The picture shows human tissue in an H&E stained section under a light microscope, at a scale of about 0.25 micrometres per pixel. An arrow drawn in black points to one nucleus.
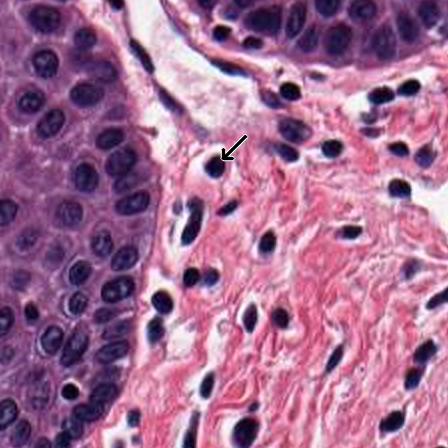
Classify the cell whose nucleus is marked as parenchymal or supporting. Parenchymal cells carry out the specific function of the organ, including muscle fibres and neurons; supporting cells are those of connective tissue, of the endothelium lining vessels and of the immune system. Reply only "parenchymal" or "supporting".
supporting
